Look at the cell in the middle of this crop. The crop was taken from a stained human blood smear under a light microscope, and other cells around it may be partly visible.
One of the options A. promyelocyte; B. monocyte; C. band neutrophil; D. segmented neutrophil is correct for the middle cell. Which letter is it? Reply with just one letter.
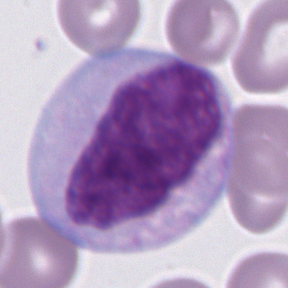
A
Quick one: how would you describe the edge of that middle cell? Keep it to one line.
A smooth, projection-free outline is what this cell has.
